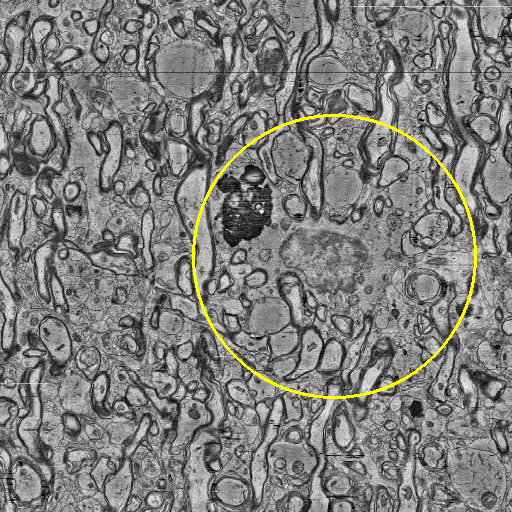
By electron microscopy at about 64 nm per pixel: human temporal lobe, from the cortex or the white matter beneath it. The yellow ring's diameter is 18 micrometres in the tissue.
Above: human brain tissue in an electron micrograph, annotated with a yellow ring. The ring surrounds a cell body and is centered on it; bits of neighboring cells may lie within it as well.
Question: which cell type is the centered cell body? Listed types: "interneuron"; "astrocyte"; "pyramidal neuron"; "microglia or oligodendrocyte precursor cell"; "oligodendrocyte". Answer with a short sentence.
The centered cell body is an oligodendrocyte.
